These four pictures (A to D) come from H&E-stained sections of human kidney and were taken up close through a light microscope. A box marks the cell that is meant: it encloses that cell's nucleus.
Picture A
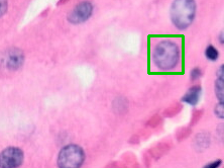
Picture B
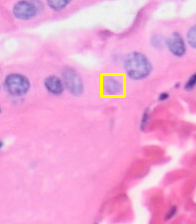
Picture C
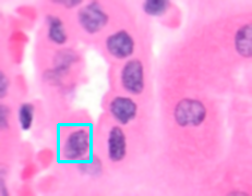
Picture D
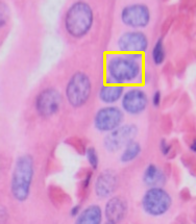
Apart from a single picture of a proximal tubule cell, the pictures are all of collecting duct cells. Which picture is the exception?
A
